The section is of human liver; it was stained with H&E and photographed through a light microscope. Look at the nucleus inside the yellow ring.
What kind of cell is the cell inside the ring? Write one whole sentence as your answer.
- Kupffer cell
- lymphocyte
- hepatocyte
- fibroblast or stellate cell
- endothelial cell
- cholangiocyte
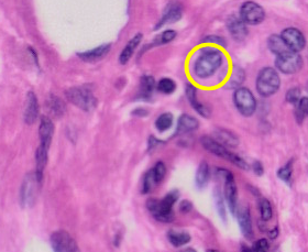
Placed in its cell category, the cell inside the ring is a cholangiocyte.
